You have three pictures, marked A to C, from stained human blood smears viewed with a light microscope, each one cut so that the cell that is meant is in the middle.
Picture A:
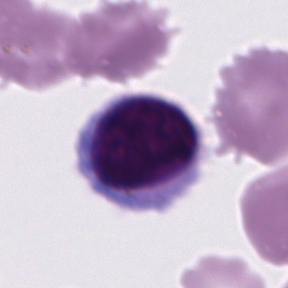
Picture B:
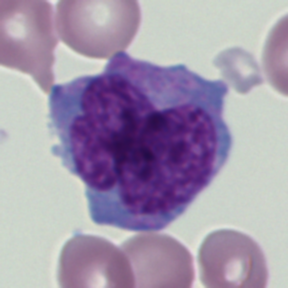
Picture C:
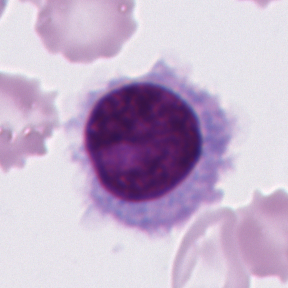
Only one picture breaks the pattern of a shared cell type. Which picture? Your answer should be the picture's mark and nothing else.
B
